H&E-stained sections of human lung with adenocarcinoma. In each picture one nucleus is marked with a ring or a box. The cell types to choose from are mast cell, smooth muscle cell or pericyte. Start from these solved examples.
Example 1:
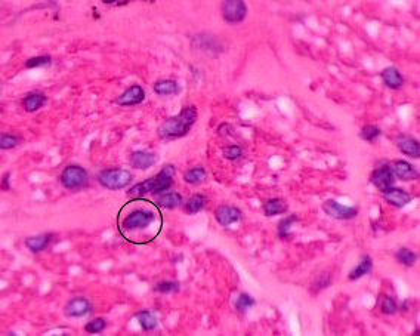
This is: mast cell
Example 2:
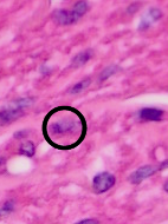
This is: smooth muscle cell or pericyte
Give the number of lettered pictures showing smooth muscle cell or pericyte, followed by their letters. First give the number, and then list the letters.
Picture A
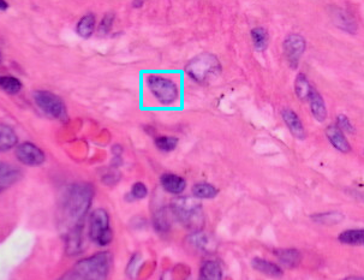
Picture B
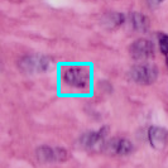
0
